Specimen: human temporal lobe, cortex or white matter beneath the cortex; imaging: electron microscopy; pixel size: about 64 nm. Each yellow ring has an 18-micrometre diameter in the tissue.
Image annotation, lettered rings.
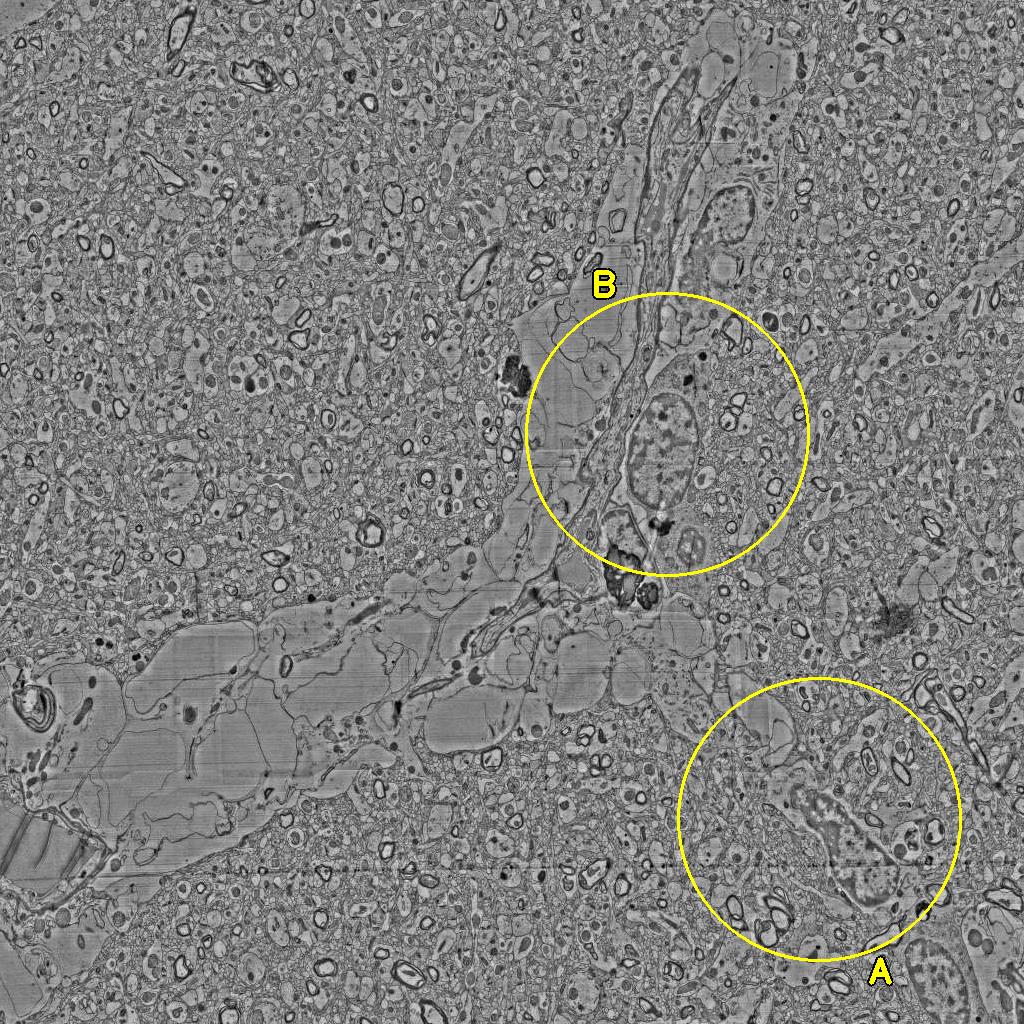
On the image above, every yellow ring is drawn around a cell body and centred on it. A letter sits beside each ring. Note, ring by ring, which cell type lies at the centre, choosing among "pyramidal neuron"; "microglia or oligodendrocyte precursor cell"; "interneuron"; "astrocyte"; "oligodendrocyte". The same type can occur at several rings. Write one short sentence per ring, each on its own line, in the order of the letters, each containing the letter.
Ring A has a microglial cell or oligodendrocyte precursor cell at its centre.
Ring B has an oligodendrocyte at its centre.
